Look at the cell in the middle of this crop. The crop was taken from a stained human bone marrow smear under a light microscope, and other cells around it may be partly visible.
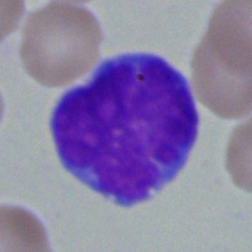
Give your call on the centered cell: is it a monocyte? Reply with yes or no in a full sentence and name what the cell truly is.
No, the middle of this crop is occupied by a blast rather than a monocyte.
